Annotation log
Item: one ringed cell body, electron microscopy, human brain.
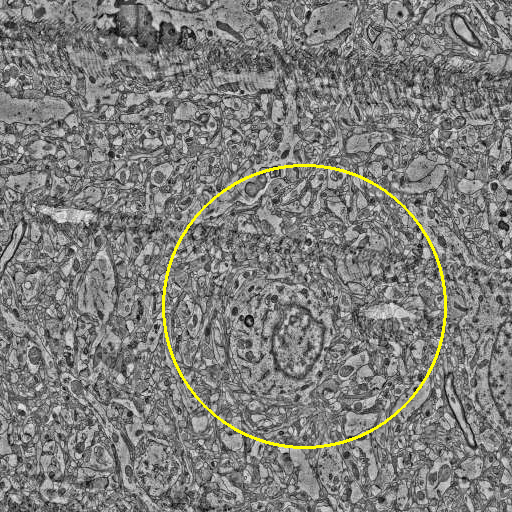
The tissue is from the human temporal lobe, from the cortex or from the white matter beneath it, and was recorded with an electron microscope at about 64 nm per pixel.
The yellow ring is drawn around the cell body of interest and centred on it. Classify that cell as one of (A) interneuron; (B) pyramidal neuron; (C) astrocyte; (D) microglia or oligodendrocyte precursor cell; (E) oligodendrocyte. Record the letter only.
B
